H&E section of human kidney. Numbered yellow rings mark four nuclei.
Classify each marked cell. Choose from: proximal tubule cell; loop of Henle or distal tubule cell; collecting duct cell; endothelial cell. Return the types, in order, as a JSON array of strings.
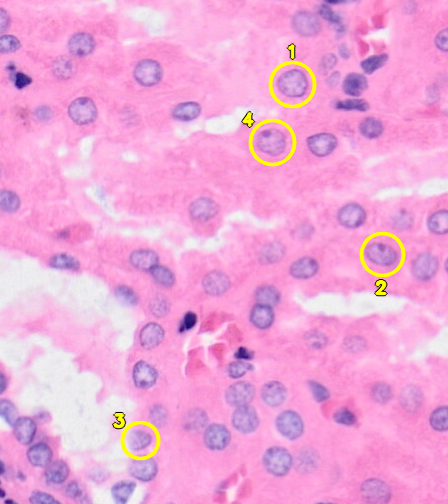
["proximal tubule cell", "proximal tubule cell", "loop of Henle or distal tubule cell", "proximal tubule cell"]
